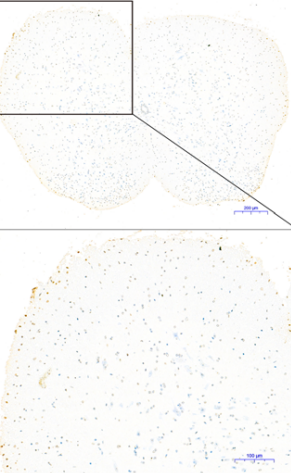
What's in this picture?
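Transverse section of spinal cord with a pale, evenly textured matrix and sparse, evenly scattered small nuclei. Only occasional small brown-stained nuclei are present, with faint brownish tint along the outer edge of the section.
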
